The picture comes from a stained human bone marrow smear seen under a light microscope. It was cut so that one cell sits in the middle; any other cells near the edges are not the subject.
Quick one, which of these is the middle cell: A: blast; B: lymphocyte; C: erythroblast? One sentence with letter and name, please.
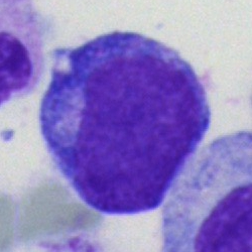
The cell right in the middle is a blast, so option A is the one.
